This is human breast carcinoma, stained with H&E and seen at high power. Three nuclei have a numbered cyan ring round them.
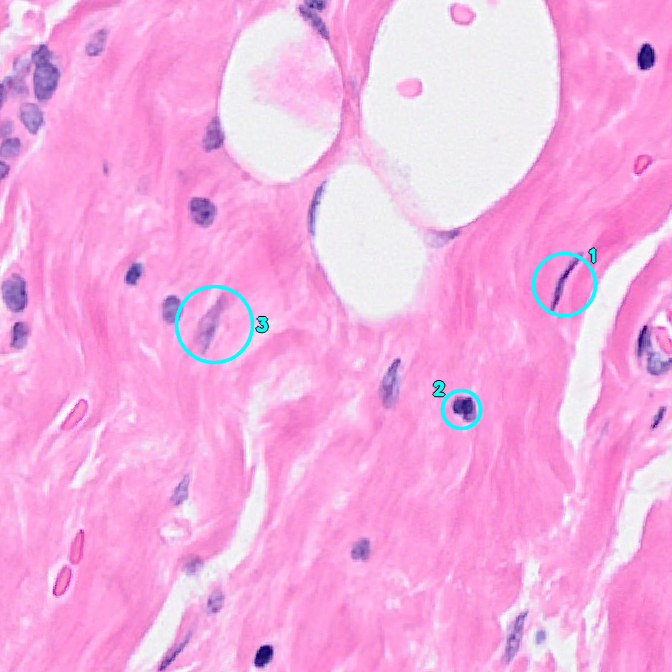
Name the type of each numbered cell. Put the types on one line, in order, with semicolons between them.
fibroblast; lymphocyte; fibroblast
